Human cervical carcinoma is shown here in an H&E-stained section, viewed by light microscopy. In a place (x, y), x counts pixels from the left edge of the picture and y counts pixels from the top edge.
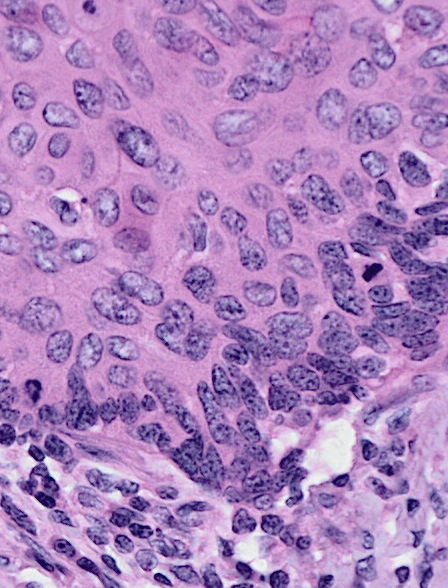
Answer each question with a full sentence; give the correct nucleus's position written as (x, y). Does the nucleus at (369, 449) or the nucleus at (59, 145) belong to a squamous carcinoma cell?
The nucleus at (59, 145) is the one of the two that belongs to a squamous carcinoma cell.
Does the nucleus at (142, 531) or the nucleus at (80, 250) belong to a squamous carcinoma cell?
The nucleus whose cell is a squamous carcinoma cell is the one at (80, 250).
